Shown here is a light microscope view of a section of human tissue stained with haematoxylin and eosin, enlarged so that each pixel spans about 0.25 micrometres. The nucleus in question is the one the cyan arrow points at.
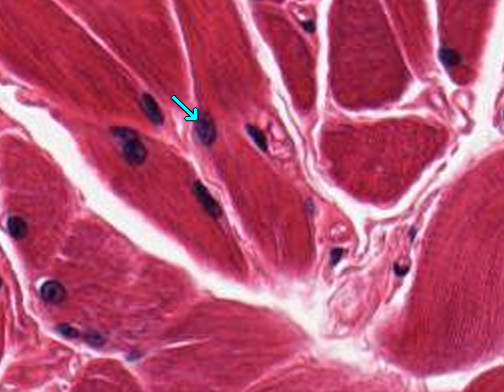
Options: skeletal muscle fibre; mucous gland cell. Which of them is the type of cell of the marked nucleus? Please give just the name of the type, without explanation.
skeletal muscle fibre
